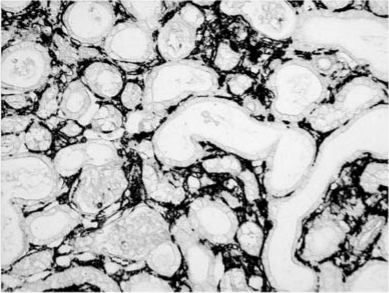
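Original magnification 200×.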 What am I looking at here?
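Many tubules are enlarged with wide, pale lumens and flattened, thin epithelial linings, some elongated and winding. Between them the interstitium is broadened, and dark stain marks numerous irregular cells gathered in clusters and streaks around the tubules. The tubular epithelium itself remains pale. Compared with normal cortex, where tubules lie tightly packed with little space between them, the architecture here is disrupted, with distended tubules and a cell-rich interstitium.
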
